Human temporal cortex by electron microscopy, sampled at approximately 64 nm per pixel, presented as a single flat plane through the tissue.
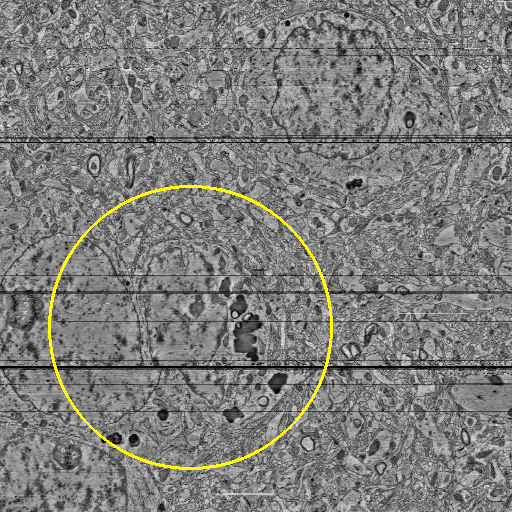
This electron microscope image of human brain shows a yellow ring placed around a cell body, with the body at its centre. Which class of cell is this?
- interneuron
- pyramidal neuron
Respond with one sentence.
The cell body at the ring's centre is an interneuron.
